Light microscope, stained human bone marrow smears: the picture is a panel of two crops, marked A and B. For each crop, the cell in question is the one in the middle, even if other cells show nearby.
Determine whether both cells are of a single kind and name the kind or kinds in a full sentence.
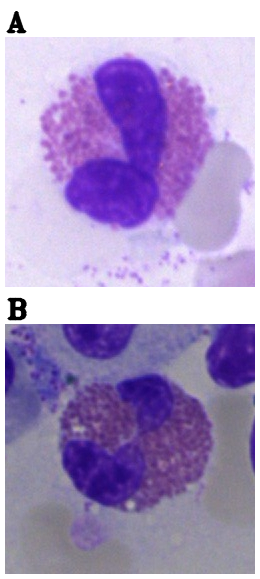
Yes, at the centre of both crops are eosinophils.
